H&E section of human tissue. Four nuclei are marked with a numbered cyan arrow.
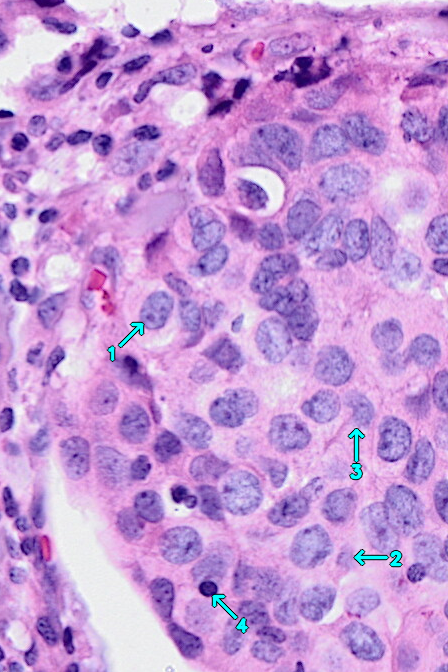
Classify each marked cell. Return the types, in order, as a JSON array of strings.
["carcinoma cell", "carcinoma cell", "carcinoma cell", "lymphocyte"]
